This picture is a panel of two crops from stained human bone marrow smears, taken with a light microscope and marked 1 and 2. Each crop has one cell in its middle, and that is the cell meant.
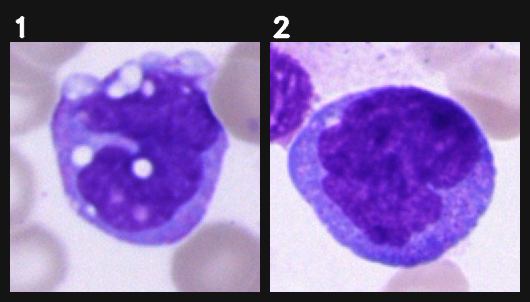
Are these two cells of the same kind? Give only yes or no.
yes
